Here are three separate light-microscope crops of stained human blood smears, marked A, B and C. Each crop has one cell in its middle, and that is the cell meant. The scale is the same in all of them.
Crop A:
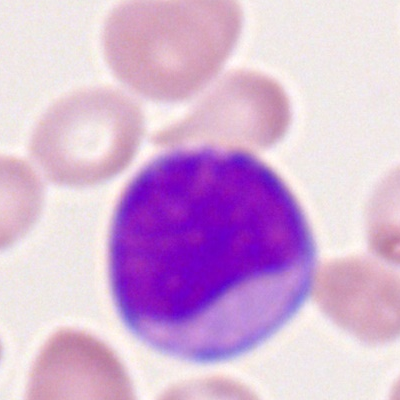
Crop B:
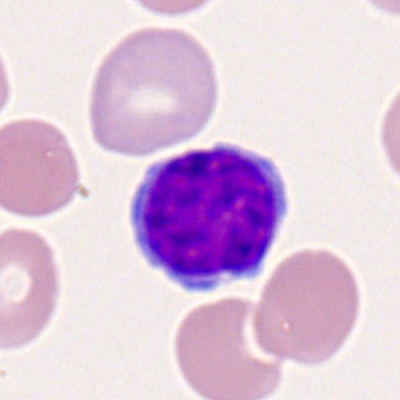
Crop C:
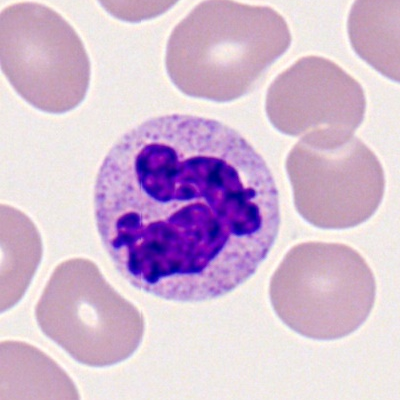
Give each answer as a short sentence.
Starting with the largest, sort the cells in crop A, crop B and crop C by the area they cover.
Going down, they run A, C, B.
